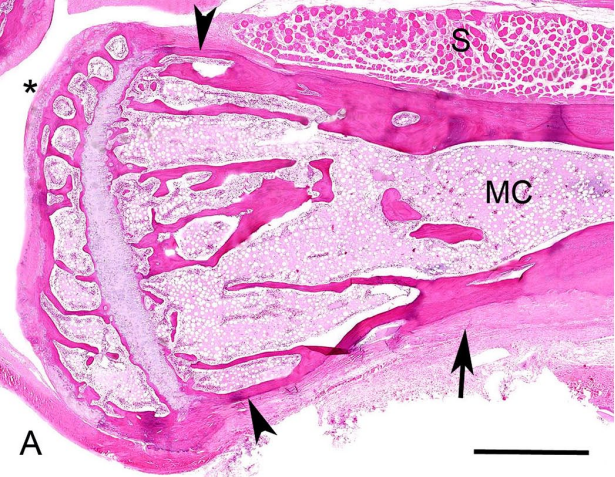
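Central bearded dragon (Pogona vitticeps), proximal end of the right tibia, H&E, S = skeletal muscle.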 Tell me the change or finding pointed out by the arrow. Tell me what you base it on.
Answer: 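Periosteal fibrosis. The arrow points to a pale fibrous layer lying outside the bone surface. The layer is broad and loosely textured.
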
